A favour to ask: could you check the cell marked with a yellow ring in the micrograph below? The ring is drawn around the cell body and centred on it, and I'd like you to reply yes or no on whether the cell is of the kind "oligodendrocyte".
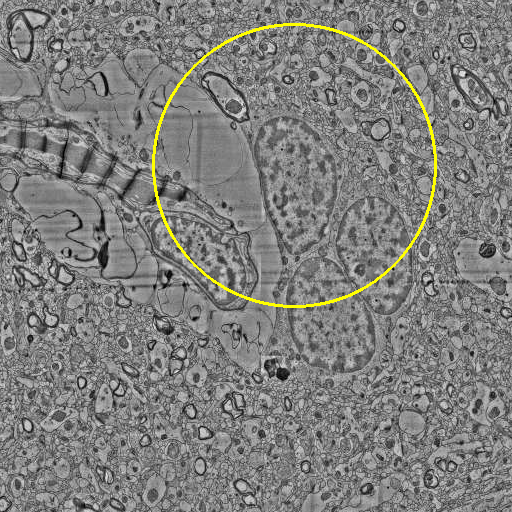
yes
